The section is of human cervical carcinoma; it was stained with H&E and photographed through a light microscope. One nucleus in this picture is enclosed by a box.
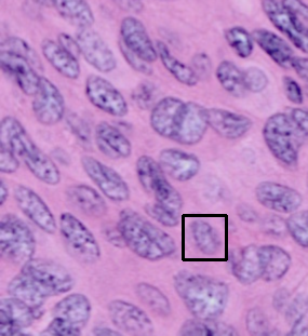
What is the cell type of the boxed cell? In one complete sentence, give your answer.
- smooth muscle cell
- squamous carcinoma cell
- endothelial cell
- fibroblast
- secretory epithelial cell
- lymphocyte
Placed in its cell category, the boxed cell is a squamous carcinoma cell.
